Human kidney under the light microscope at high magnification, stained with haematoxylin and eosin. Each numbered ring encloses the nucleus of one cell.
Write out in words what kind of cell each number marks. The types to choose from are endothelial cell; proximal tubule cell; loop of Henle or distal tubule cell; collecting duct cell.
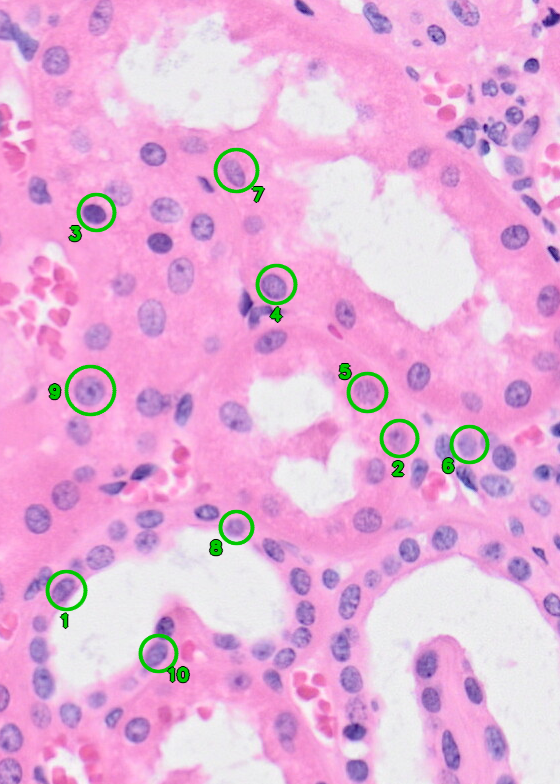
Cells 1, 6, 8 and 10 are collecting duct cells. Cells 2, 3, 4, 5, 7 and 9 are proximal tubule cells.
